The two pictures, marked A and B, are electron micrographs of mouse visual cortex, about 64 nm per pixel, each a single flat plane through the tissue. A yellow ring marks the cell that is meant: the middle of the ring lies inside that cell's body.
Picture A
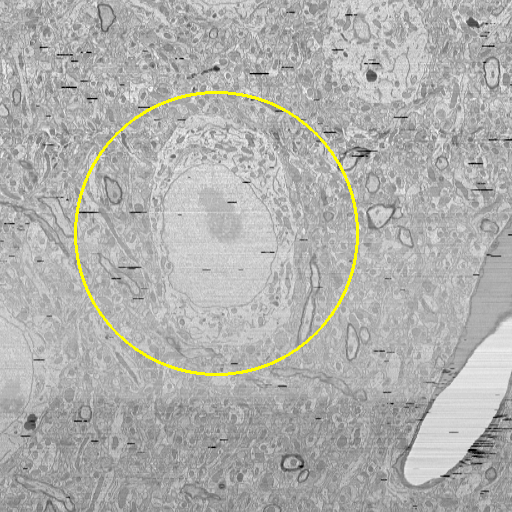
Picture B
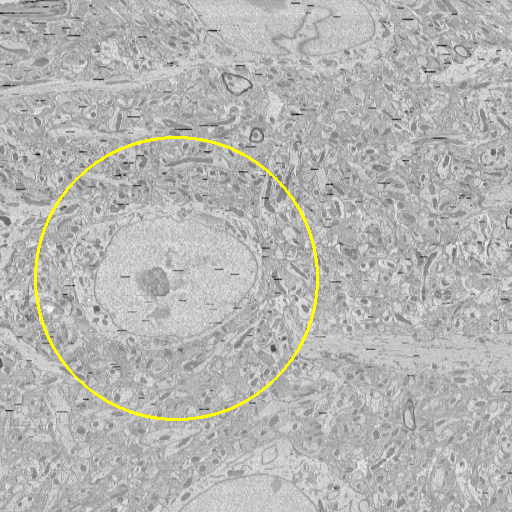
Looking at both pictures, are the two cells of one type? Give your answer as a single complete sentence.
Yes, they are the same type: both are inhibitory neurons.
